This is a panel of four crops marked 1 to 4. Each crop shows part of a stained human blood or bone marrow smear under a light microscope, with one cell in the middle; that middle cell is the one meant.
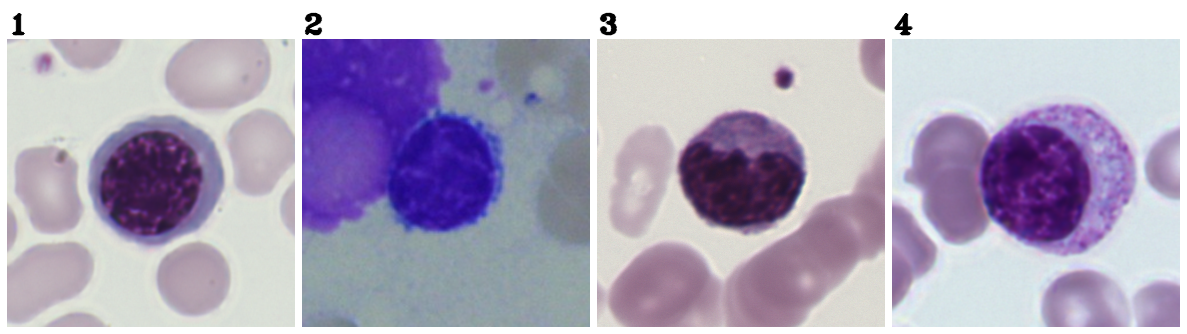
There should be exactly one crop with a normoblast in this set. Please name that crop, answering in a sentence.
The crop carrying a normoblast at the center is crop 1.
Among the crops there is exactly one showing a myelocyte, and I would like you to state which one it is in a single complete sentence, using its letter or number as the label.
That would be crop 4; it shows a myelocyte.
